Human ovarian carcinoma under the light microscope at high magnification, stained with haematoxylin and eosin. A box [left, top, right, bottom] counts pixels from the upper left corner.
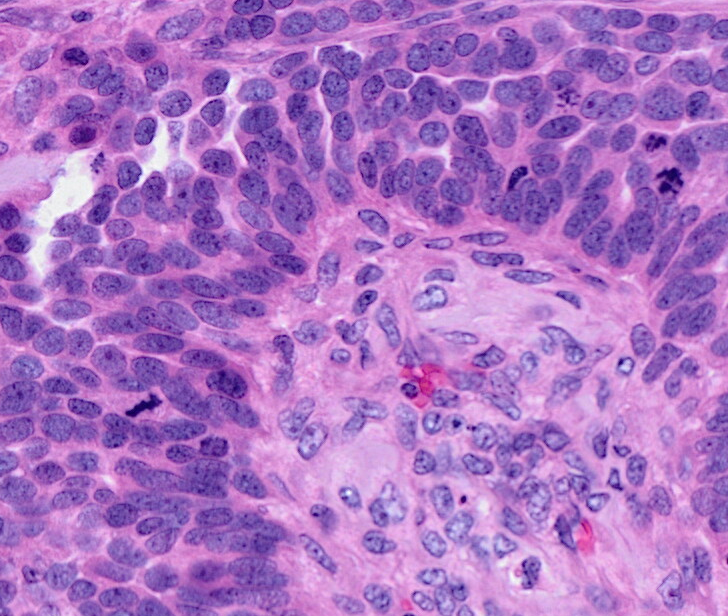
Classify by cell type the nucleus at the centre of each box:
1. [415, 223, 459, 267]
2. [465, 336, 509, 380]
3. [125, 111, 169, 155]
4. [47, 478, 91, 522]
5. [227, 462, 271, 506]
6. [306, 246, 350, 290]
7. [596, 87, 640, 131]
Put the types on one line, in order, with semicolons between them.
fibroblast; endothelial cell; carcinoma cell; carcinoma cell; carcinoma cell; fibroblast; carcinoma cell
